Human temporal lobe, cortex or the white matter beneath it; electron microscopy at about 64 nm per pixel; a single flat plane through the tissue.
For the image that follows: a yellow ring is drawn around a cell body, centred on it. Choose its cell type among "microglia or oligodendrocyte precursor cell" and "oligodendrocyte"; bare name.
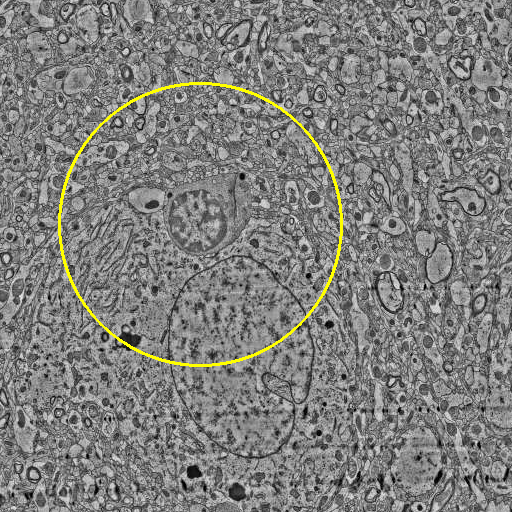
oligodendrocyte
